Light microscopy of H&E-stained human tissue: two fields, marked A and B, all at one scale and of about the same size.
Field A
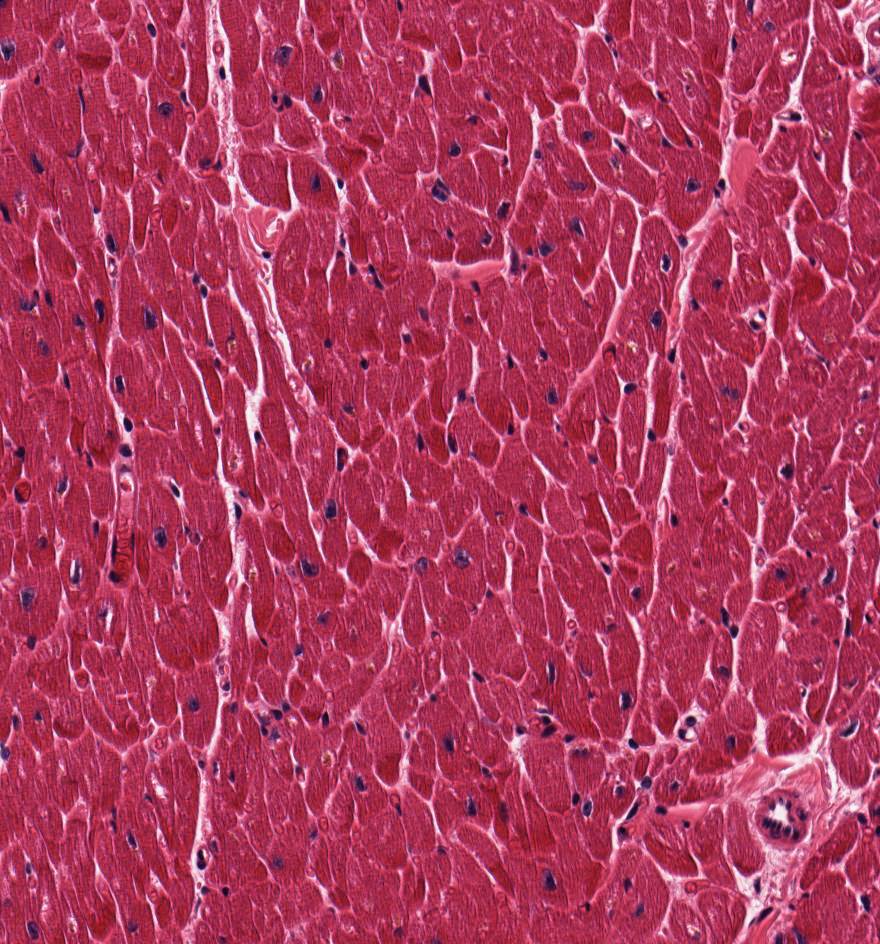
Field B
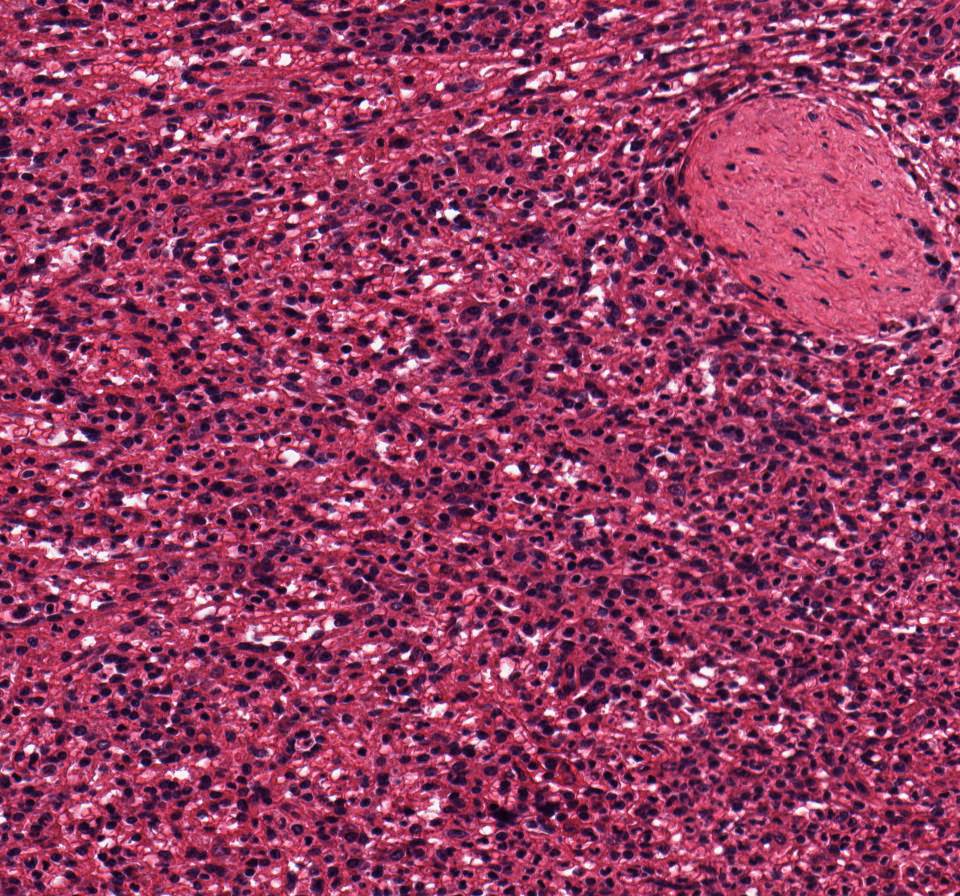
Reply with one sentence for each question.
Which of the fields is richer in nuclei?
More nuclei lie in field B than in field A.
